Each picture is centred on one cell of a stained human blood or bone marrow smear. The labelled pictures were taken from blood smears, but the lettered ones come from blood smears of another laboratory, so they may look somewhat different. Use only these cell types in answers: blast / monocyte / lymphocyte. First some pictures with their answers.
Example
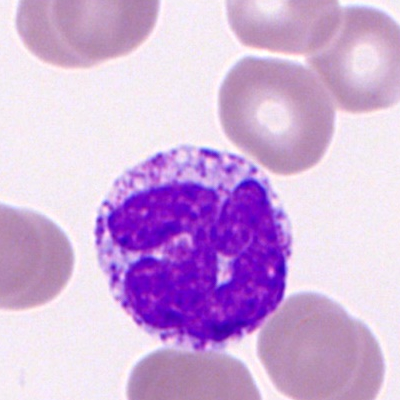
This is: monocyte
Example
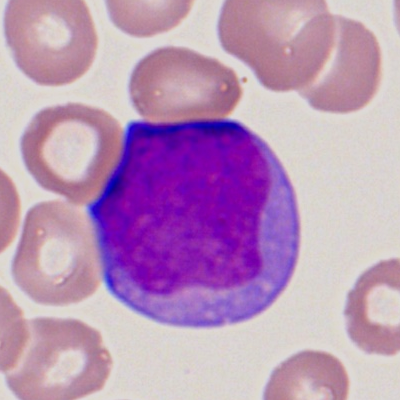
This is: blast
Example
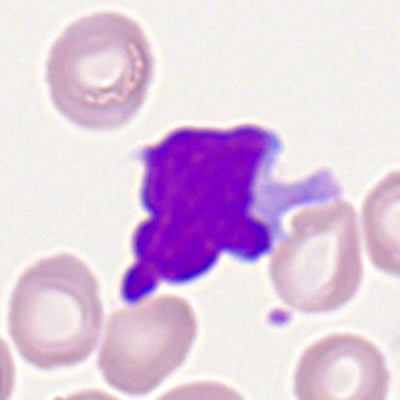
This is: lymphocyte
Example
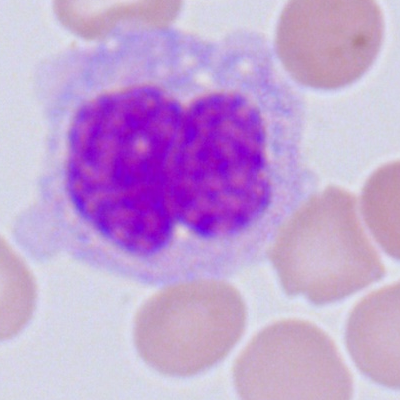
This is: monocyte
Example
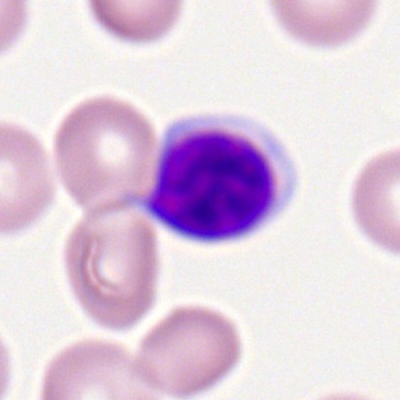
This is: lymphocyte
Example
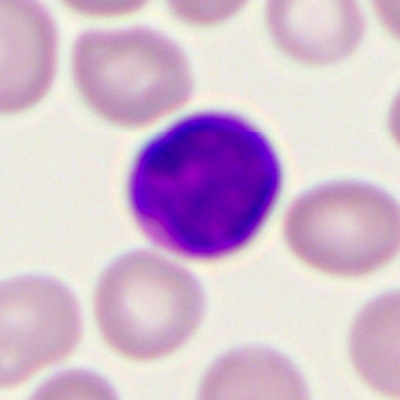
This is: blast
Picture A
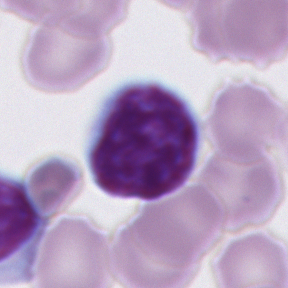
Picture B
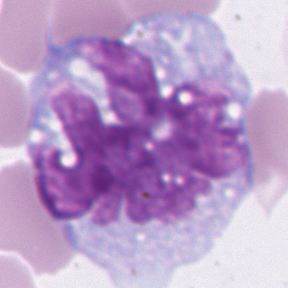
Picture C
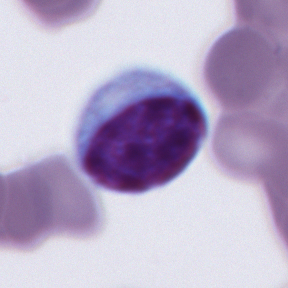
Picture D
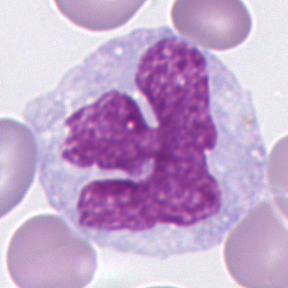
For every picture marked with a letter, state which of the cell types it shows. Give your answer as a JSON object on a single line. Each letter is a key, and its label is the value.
{"A": "lymphocyte", "B": "monocyte", "C": "lymphocyte", "D": "monocyte"}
